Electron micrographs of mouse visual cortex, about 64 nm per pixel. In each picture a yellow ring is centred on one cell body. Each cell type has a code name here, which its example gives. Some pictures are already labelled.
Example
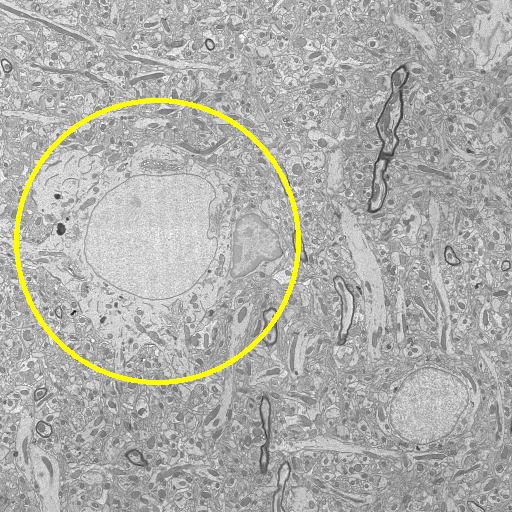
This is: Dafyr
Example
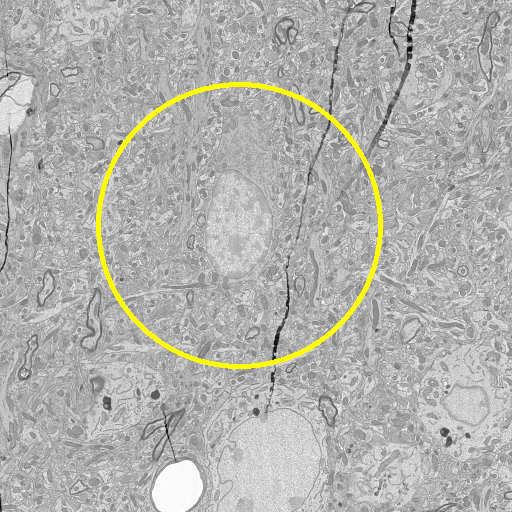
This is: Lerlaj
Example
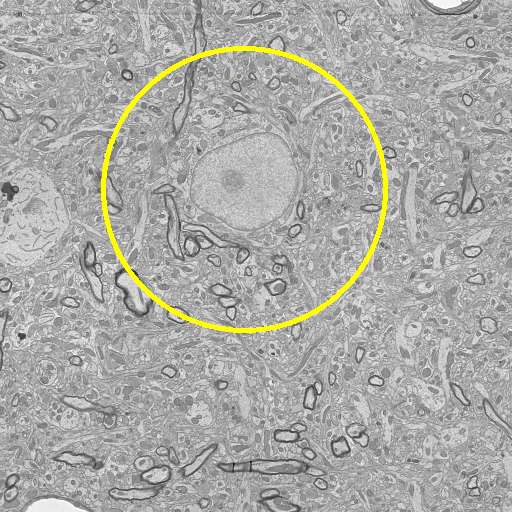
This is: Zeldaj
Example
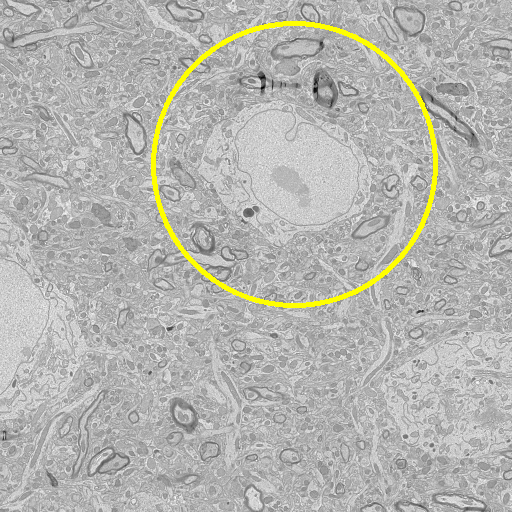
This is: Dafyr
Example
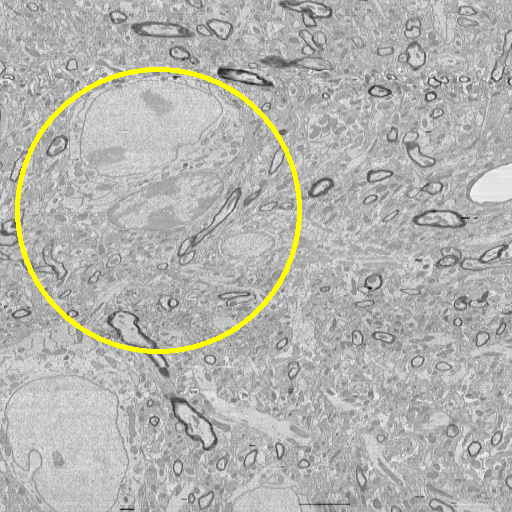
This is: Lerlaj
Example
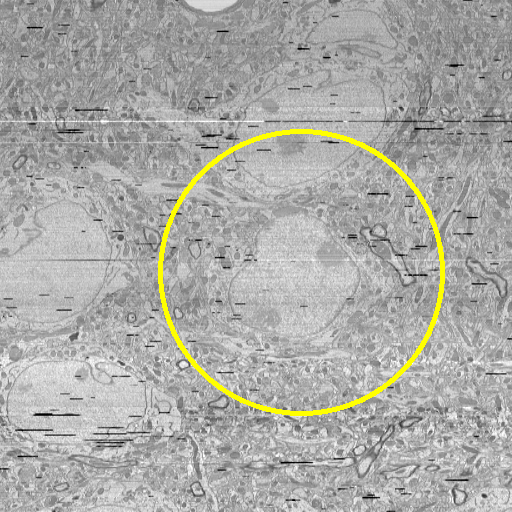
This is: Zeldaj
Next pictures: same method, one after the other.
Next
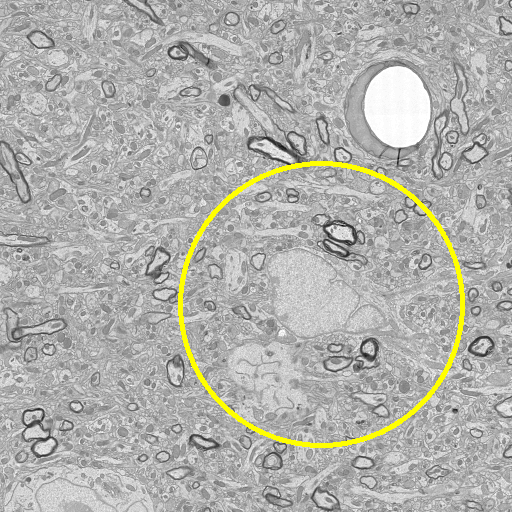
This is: Zeldaj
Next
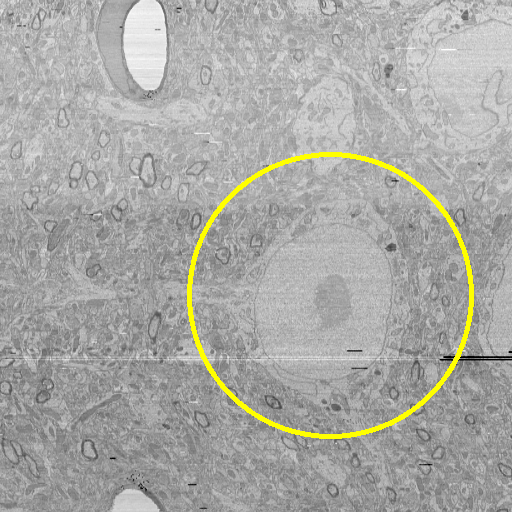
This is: Dafyr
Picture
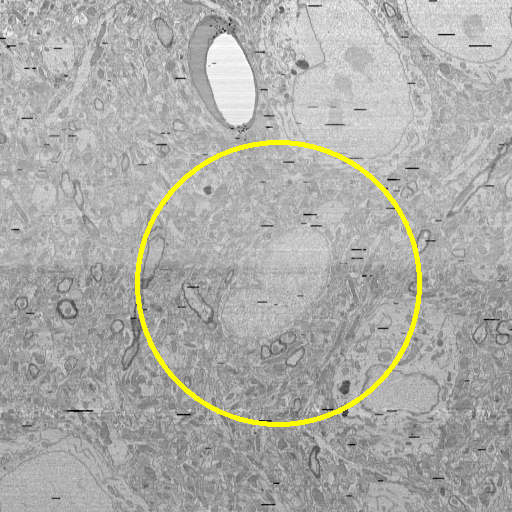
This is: Zeldaj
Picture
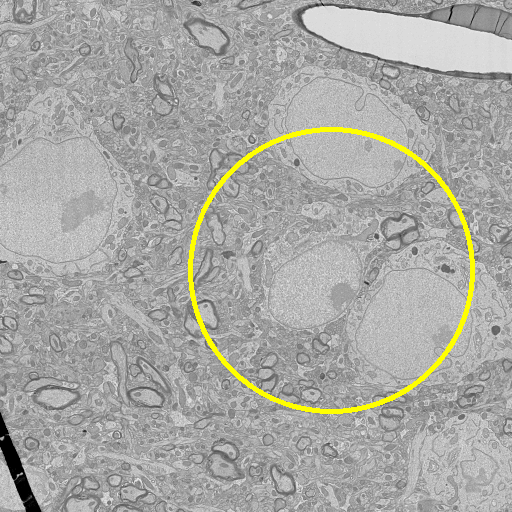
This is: Zeldaj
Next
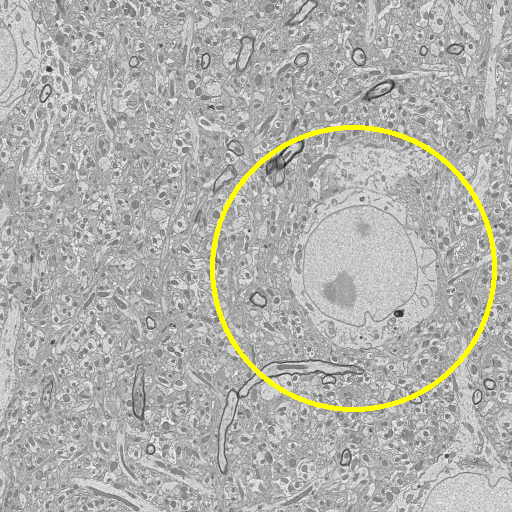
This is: Dafyr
